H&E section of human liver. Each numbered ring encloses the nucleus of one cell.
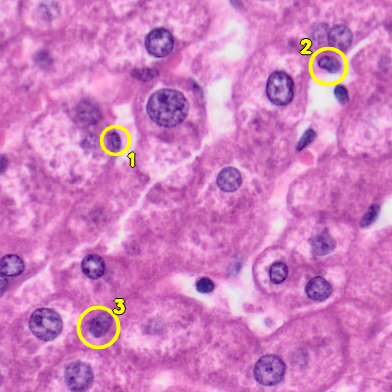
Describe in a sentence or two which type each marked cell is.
Cell 1 is a Kupffer cell, cell 2 is a Kupffer cell and cell 3 is an endothelial cell.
